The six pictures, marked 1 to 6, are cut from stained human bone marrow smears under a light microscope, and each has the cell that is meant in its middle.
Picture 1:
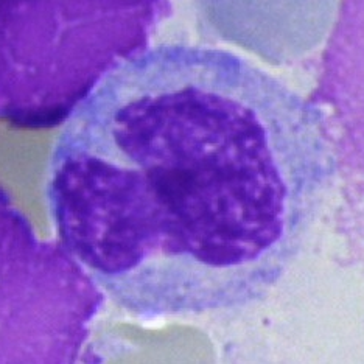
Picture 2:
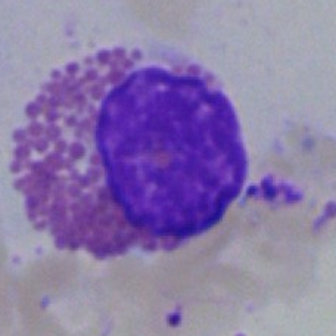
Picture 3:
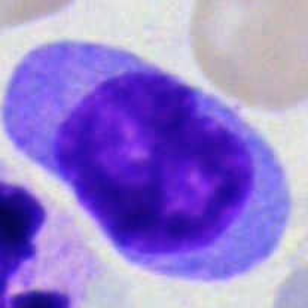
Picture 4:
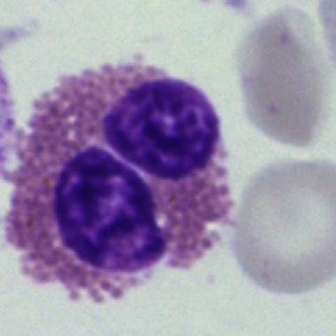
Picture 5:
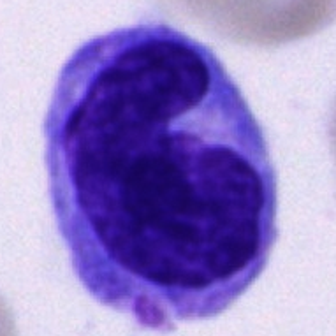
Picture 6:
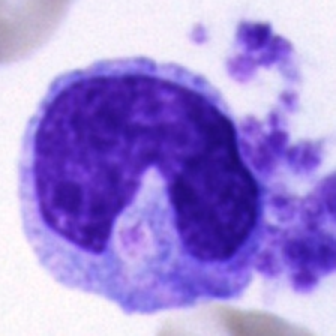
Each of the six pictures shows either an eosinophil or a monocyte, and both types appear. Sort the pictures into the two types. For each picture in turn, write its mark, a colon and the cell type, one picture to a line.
1: monocyte
2: eosinophil
3: monocyte
4: eosinophil
5: monocyte
6: monocyte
